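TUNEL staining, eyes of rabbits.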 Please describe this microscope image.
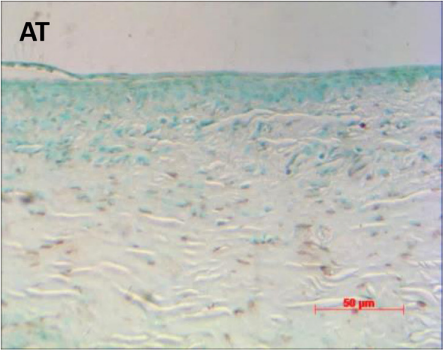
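A corneal section shows a flattened, thin surface layer of cells over an underlying tissue whose fibres appear wavy, split and disorganised. The surface epithelial layer looks thinner and less orderly than a normal corneal epithelium, in keeping with serious damage.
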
